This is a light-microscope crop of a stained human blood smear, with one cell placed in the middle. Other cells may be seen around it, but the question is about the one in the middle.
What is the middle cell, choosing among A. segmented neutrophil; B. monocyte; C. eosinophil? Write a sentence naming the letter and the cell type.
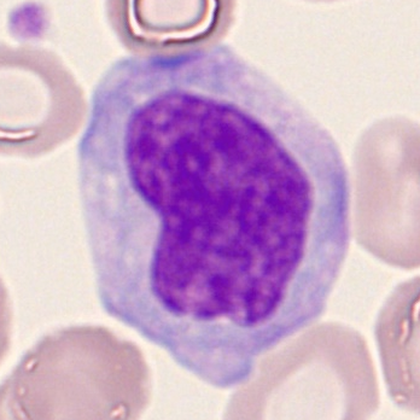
The central cell in this crop is a monocyte, so the correct choice is option B.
